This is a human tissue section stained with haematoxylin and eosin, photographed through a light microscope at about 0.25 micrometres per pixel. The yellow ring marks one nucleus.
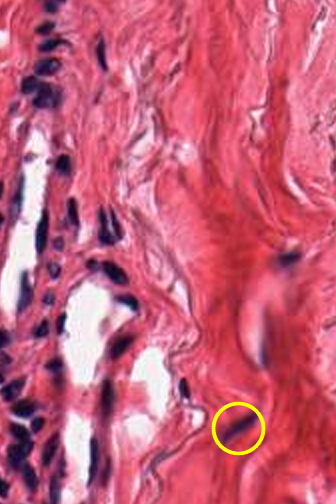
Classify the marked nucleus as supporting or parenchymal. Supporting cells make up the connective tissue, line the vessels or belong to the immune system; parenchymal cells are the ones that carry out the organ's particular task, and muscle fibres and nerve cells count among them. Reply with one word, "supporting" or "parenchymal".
supporting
